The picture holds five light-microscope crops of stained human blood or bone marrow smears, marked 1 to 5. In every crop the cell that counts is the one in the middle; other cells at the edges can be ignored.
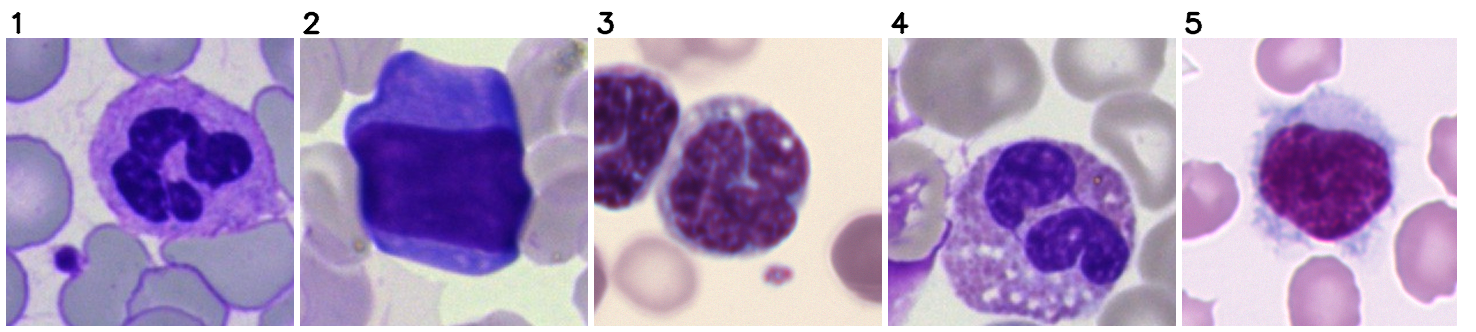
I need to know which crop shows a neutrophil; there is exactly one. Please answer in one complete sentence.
Identified crop: 1, the one that shows a neutrophil.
